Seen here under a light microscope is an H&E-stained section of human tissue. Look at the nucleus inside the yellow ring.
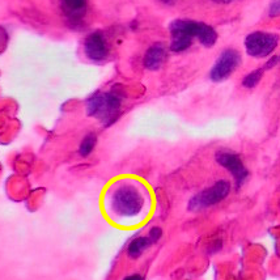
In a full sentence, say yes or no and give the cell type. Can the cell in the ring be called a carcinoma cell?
No, the cell in the ring is a type I pneumocyte instead of a carcinoma cell.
